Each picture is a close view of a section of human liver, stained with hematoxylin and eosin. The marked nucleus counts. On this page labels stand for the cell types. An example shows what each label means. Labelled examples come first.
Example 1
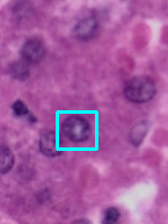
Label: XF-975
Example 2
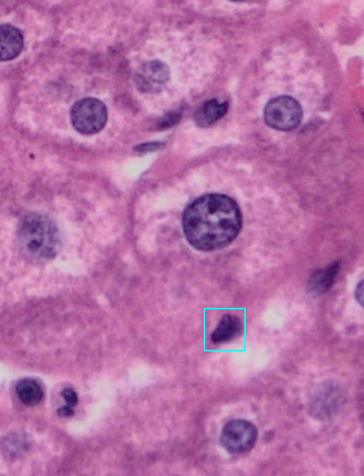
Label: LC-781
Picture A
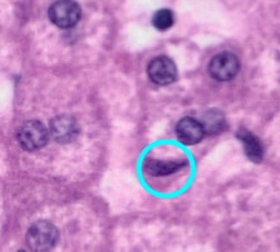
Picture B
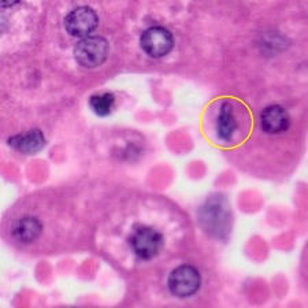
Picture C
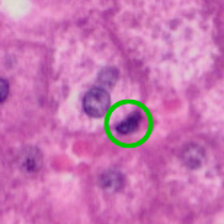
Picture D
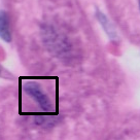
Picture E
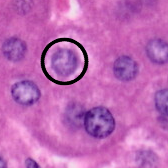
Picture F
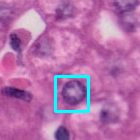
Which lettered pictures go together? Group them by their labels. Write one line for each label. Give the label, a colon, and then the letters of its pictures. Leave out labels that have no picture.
XF-975: E, F
LC-781: A, B, C, D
